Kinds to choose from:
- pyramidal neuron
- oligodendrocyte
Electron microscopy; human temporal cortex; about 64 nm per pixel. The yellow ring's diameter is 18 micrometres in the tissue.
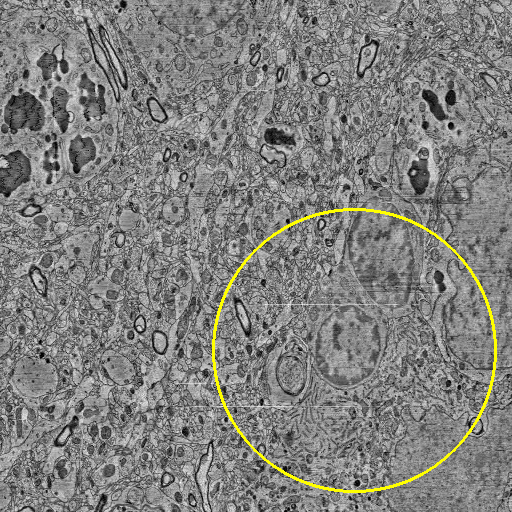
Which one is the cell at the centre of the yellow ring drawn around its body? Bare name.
oligodendrocyte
